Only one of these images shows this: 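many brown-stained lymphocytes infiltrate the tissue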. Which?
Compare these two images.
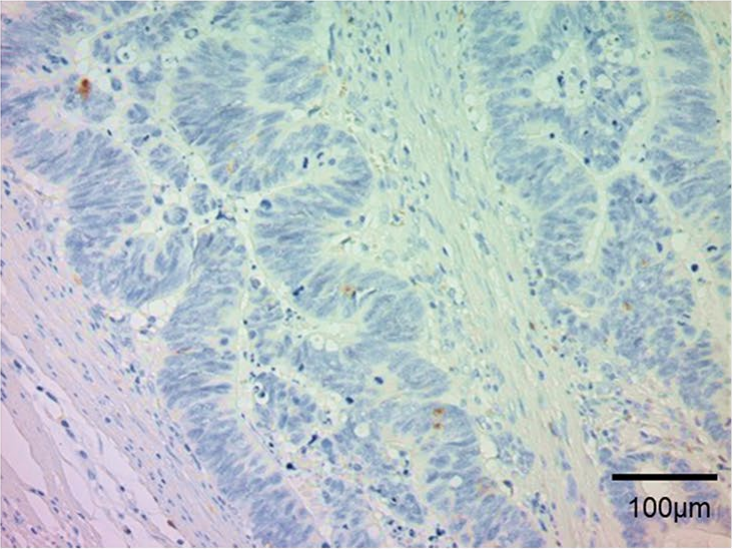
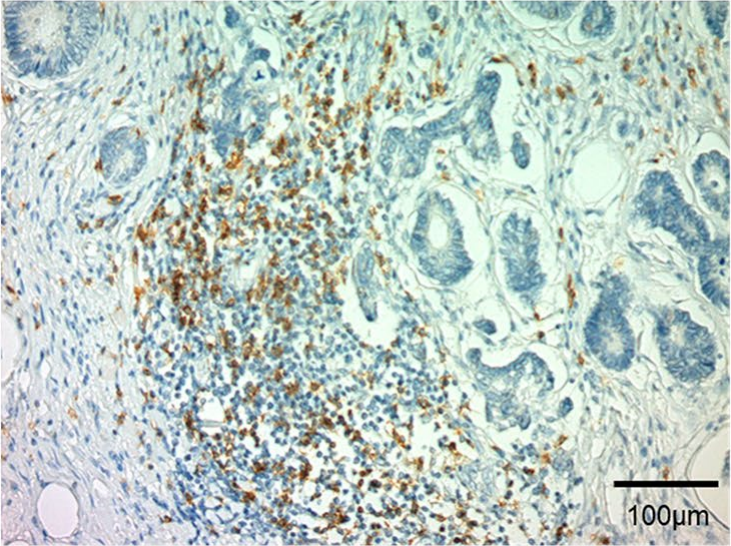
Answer: The second image.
